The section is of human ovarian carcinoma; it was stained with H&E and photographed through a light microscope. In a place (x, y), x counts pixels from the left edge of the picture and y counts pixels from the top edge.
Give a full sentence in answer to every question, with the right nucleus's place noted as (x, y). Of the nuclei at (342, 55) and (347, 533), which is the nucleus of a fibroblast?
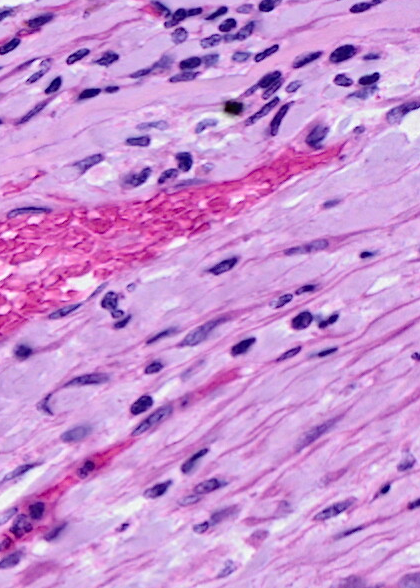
The cell to which the nucleus at (347, 533) belongs is a fibroblast.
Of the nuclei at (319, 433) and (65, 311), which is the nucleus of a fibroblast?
Of the pair, the nucleus located at (319, 433) belongs to a fibroblast.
